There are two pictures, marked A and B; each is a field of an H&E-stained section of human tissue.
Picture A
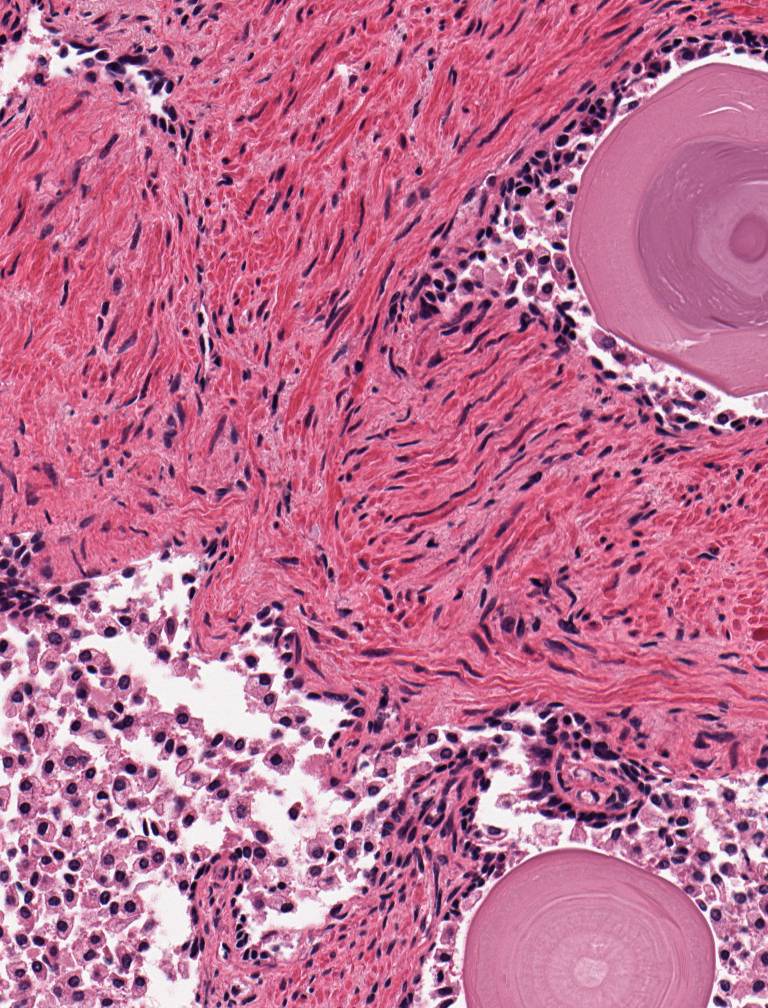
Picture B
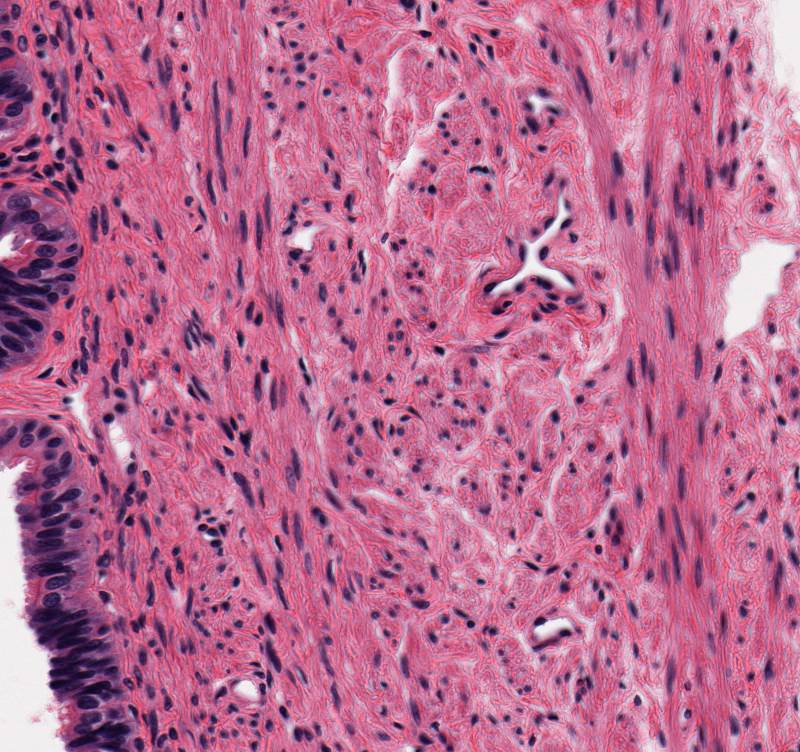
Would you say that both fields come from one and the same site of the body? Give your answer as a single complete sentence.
No, they differ: picture A comes from the prostate, and picture B comes from the fallopian tube.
